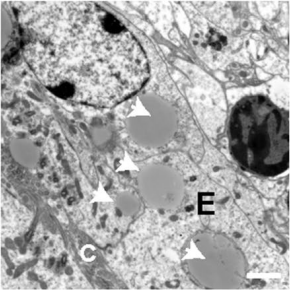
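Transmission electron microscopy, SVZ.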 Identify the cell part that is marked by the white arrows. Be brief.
lipid droplets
